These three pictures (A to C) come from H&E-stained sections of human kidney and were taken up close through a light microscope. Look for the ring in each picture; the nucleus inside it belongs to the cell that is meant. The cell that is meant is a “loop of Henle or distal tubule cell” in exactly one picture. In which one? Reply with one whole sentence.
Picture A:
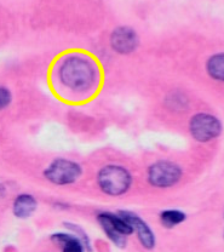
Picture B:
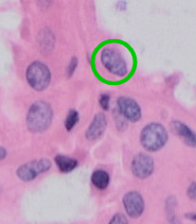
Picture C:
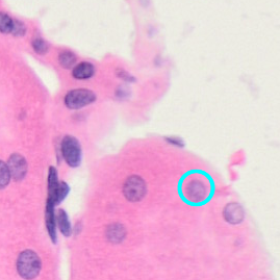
The cell in picture B is the “loop of Henle or distal tubule cell”.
